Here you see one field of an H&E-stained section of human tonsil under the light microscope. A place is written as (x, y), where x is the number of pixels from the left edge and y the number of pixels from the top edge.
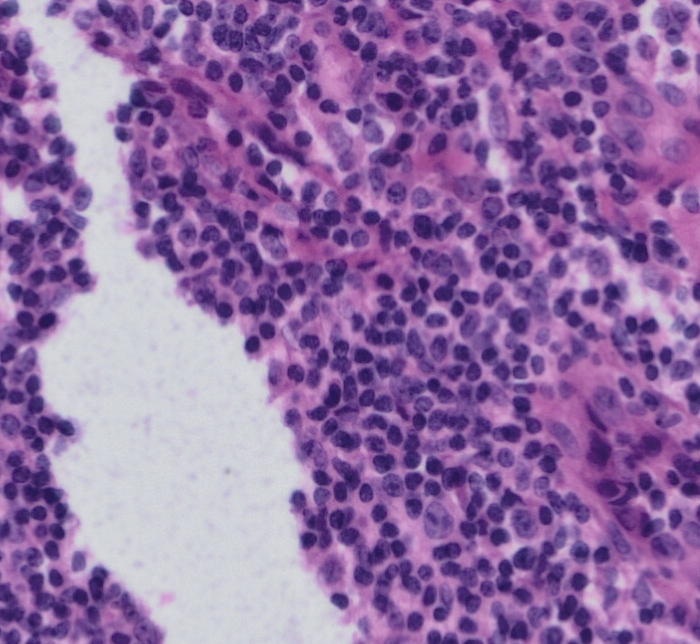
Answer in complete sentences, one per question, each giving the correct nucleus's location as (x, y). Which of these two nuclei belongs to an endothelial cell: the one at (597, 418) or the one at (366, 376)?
Between the two nuclei, the one sitting at (597, 418) belongs to an endothelial cell.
